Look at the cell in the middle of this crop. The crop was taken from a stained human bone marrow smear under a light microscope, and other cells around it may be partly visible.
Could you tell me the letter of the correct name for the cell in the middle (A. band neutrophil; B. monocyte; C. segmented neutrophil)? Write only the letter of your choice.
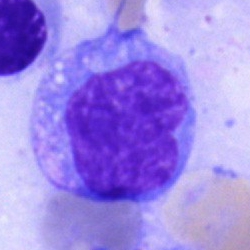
B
